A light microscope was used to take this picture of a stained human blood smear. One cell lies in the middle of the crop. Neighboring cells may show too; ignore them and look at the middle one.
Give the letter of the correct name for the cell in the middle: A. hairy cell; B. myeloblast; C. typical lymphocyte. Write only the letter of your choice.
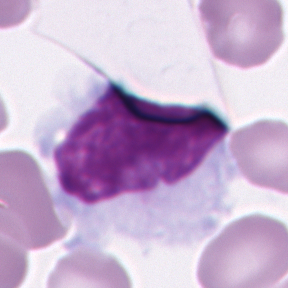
A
